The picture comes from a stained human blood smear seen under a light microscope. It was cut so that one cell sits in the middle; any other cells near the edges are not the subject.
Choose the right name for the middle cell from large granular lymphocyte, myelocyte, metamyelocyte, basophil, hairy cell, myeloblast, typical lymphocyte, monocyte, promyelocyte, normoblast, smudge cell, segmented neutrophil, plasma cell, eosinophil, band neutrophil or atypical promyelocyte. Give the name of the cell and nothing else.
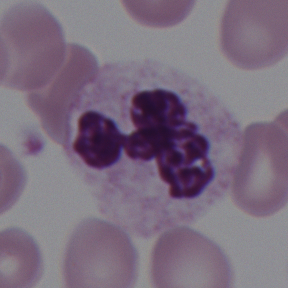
segmented neutrophil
